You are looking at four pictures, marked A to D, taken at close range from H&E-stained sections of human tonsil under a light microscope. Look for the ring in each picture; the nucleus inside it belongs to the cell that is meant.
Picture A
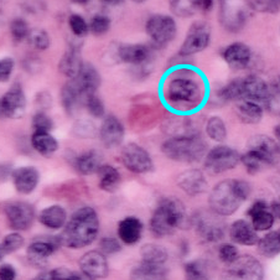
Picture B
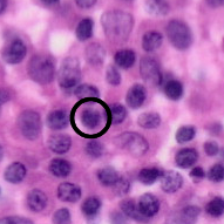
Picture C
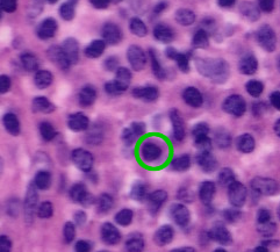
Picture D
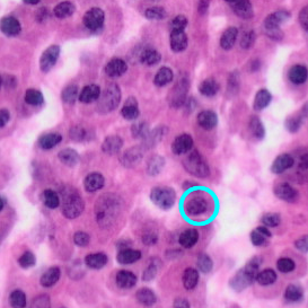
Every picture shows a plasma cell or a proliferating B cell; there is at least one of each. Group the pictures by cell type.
A: proliferating B cell
B: plasma cell
C: plasma cell
D: plasma cell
